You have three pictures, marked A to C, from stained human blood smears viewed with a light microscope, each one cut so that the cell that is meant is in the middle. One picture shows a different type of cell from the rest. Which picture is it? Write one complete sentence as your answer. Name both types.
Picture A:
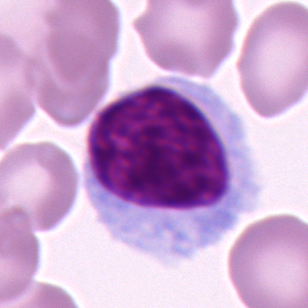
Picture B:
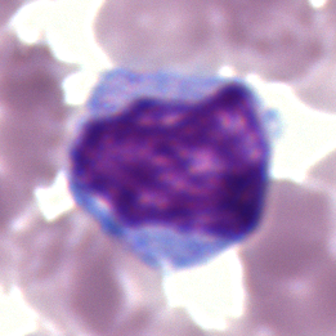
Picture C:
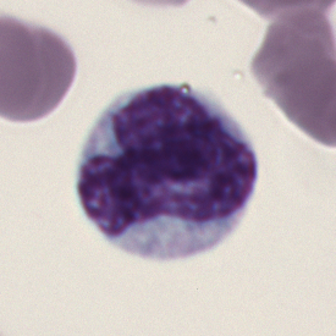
Picture A differs, because its cell is a hairy cell and the rest are monocytes.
